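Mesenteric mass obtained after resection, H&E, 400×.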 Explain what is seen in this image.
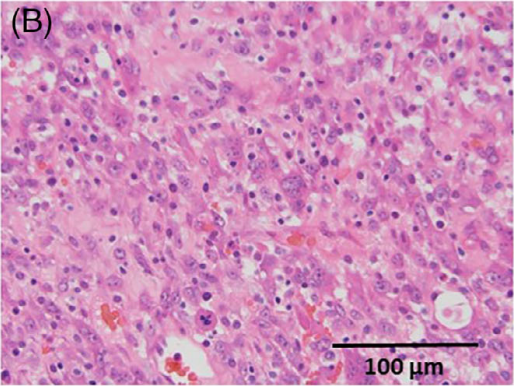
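An area of the neoplasm in which many cells are plump and epithelioid rather than spindle-shaped, with nuclei varying in size and shape, some large with visible nucleoli. The cells lie within a pale pink somewhat myxocollagenous matrix, with small vessels containing red blood cells.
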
